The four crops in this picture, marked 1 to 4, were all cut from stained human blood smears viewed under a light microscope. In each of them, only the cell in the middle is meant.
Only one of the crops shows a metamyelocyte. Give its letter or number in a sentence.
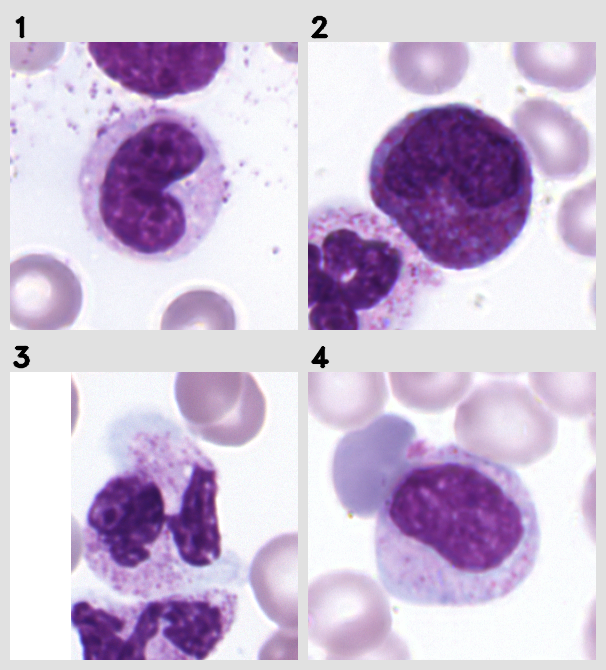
The requested cell, a metamyelocyte, is the one in crop 4.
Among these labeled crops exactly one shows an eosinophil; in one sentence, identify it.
In this set, crop 2 is the one showing an eosinophil.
